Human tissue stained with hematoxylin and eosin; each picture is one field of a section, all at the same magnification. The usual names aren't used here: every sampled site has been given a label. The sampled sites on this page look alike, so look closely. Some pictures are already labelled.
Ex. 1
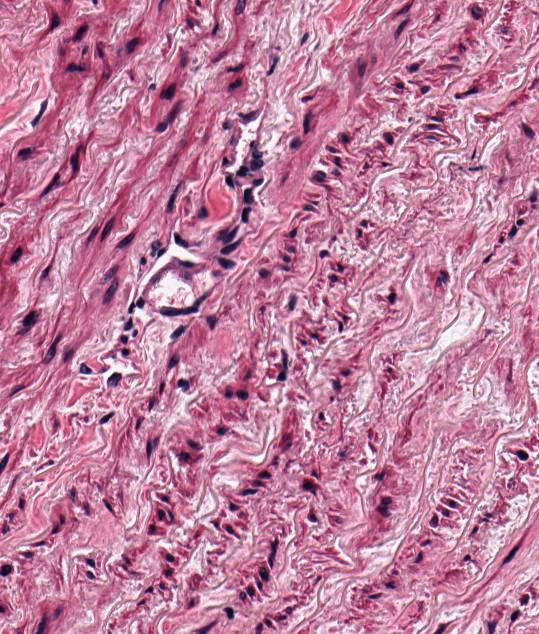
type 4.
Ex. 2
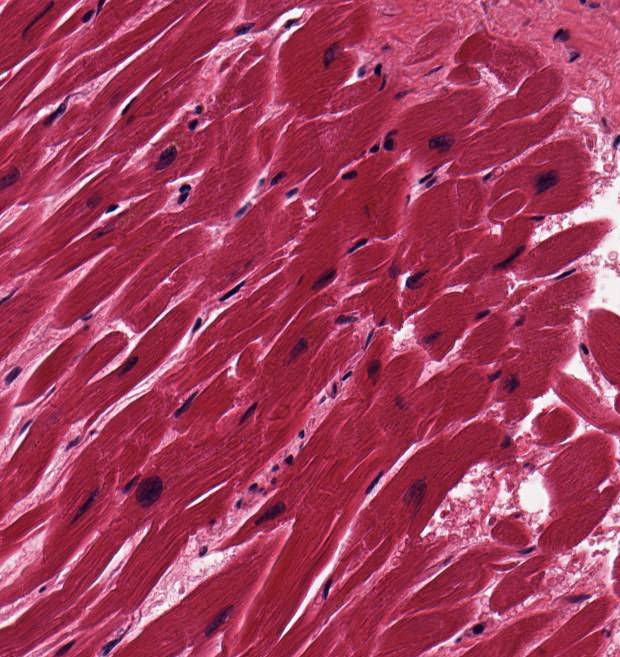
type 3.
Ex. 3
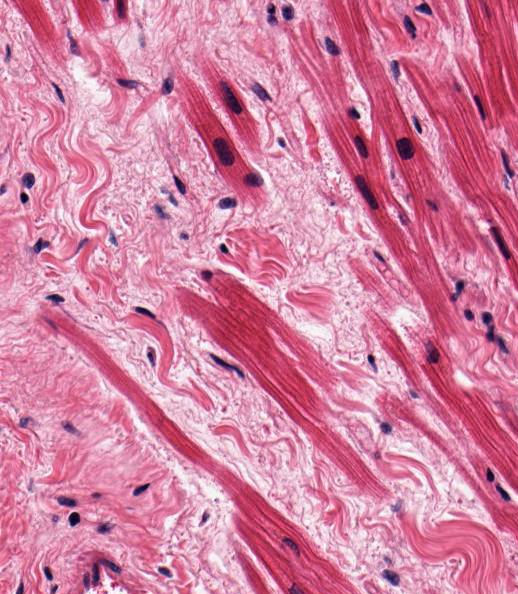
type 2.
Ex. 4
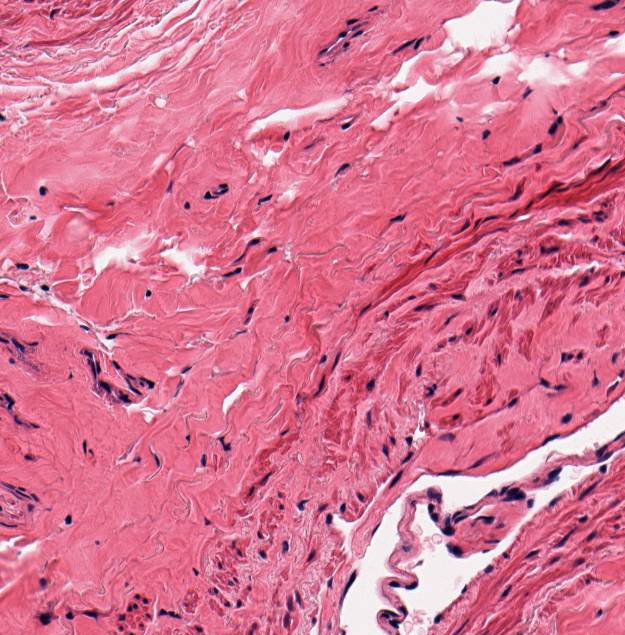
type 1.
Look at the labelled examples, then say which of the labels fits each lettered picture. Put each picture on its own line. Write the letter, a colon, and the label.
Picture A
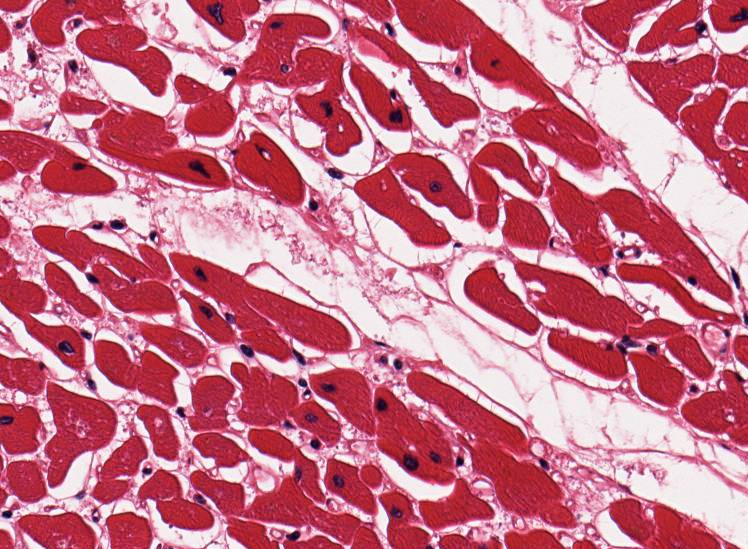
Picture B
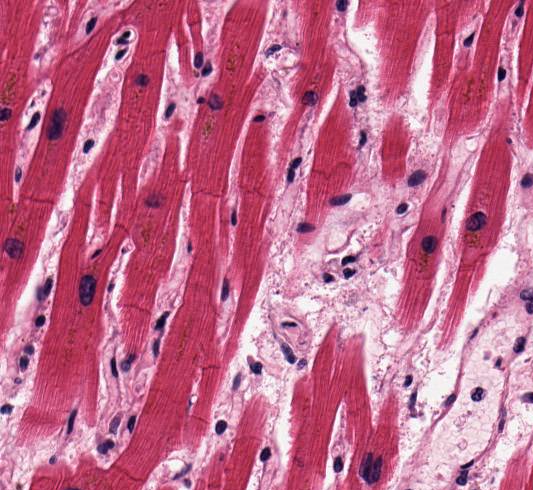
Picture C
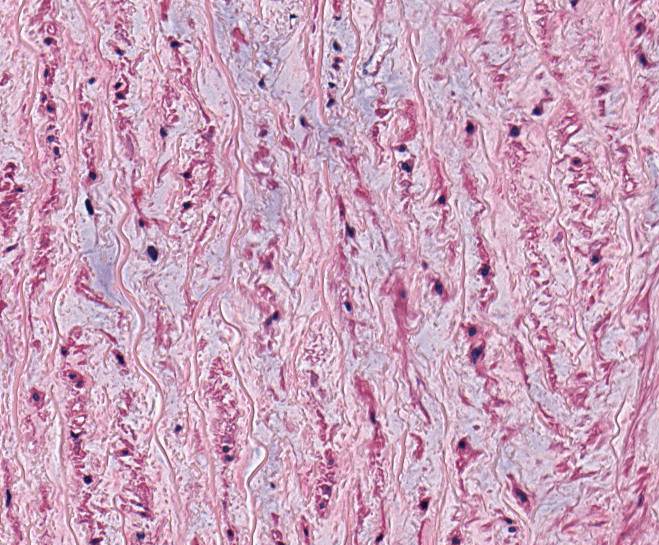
A: type 3.
B: type 3.
C: type 4.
